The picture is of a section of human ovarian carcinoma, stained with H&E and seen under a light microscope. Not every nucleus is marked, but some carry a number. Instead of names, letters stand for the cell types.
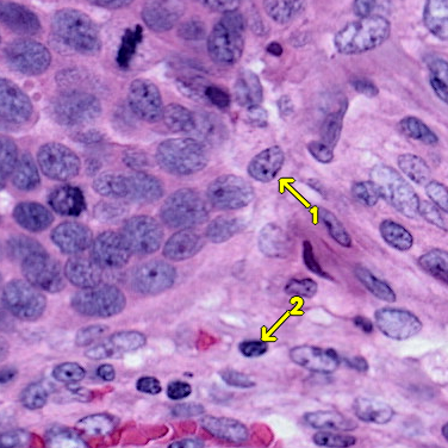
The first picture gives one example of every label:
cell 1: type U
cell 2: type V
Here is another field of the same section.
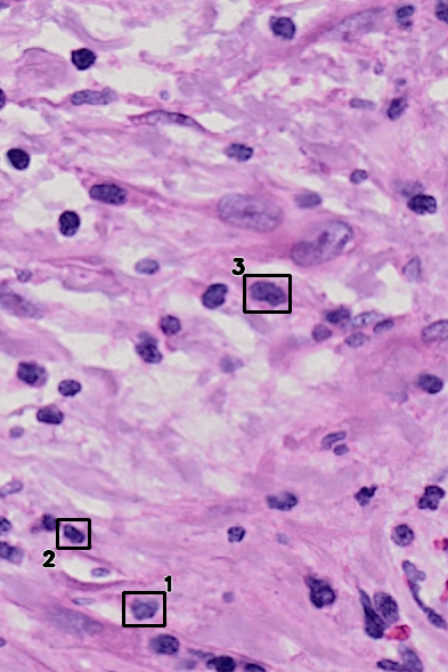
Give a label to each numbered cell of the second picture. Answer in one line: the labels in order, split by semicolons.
type V; type V; type U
